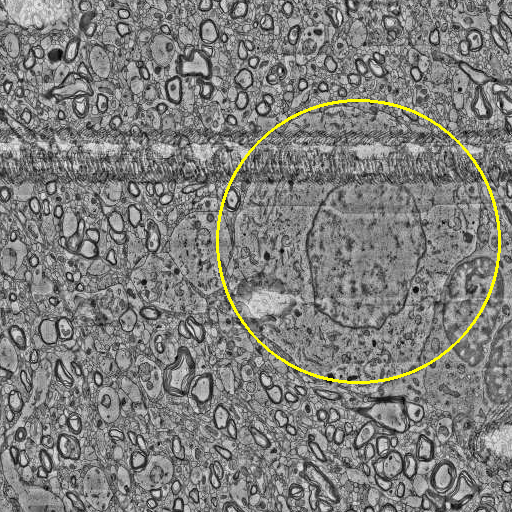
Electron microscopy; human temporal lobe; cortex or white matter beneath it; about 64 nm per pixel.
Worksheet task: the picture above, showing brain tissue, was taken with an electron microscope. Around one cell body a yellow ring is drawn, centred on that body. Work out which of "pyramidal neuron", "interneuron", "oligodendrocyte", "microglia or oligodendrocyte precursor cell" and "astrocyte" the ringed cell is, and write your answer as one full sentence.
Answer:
It is a pyramidal neuron whose cell body lies at the centre of the yellow ring.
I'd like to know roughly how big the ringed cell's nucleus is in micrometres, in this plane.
About 11 by 8 micrometres in this plane.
